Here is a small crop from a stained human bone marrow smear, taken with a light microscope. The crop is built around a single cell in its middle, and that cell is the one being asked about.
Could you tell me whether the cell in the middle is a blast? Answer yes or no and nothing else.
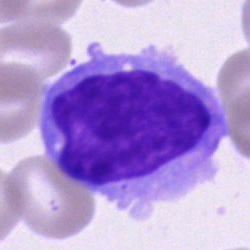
no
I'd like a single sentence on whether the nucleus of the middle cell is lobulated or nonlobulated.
Its nucleus is compact and single, with a round, oval or kidney-shaped form.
